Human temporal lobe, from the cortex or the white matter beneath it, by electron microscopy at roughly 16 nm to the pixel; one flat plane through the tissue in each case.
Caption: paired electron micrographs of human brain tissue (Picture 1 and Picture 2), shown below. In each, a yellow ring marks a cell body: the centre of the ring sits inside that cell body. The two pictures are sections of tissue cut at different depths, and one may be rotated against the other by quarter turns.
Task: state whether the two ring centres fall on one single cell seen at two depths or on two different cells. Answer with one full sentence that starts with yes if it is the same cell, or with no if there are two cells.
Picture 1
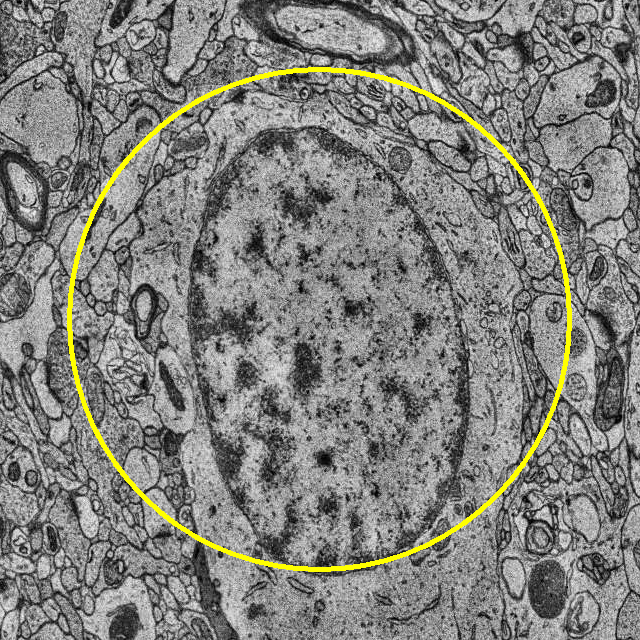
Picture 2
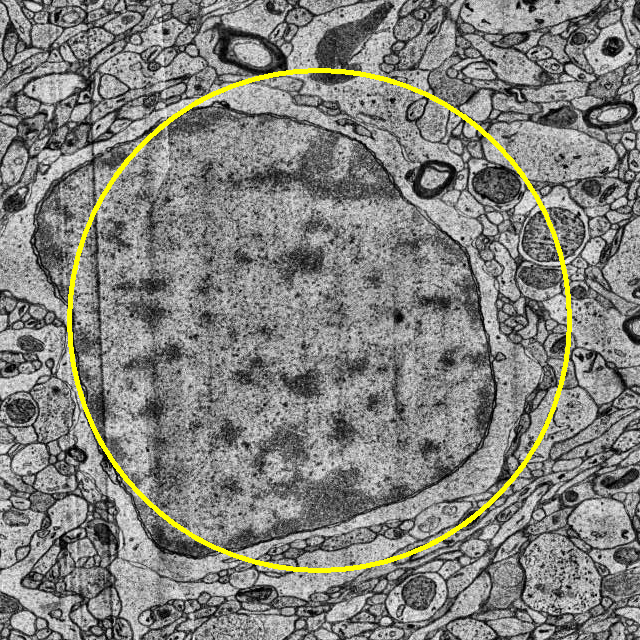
No, the two rings outline two separate cells in this micrograph.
